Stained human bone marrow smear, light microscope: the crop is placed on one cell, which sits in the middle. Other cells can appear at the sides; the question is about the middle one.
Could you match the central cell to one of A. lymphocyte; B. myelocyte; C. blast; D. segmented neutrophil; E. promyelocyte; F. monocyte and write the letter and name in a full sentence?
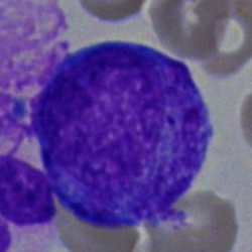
The cell shown centrally is a promyelocyte; option E is the correct option.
